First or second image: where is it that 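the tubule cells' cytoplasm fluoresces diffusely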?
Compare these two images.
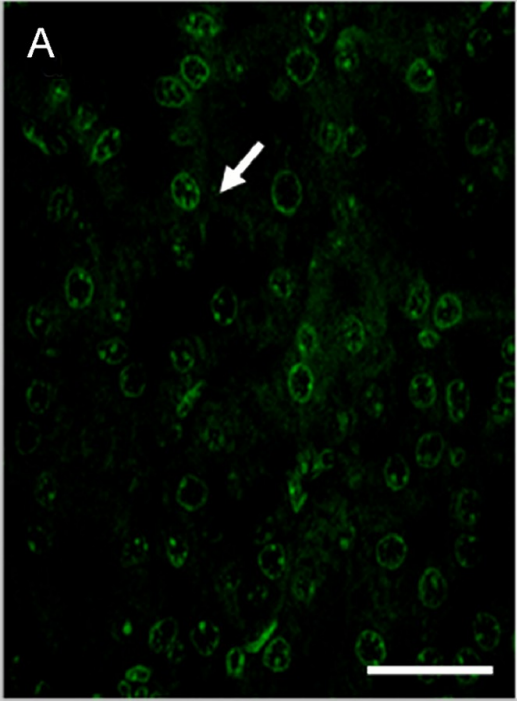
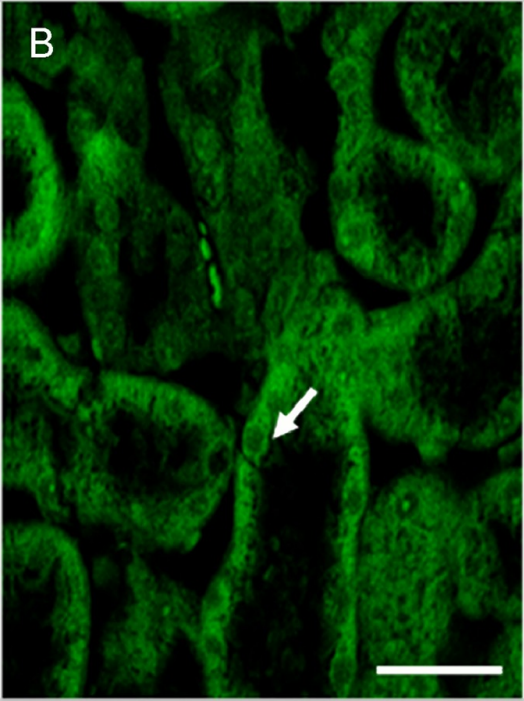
the second image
